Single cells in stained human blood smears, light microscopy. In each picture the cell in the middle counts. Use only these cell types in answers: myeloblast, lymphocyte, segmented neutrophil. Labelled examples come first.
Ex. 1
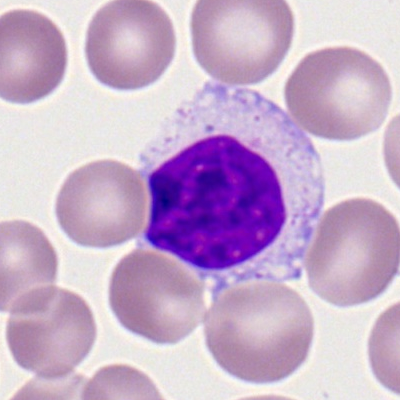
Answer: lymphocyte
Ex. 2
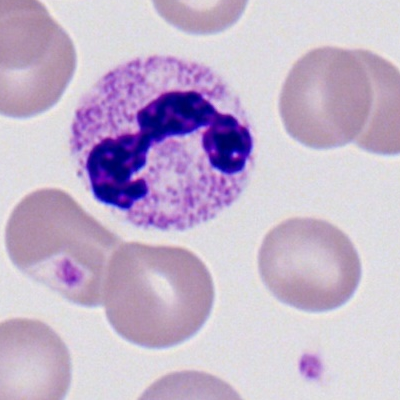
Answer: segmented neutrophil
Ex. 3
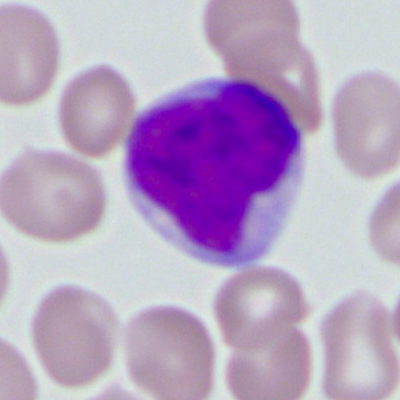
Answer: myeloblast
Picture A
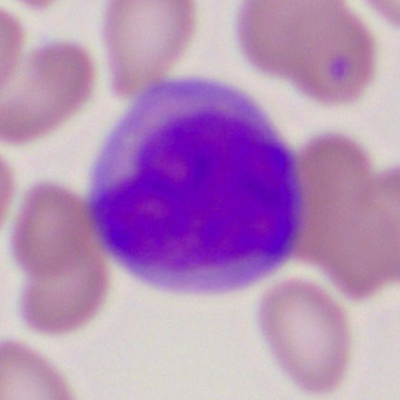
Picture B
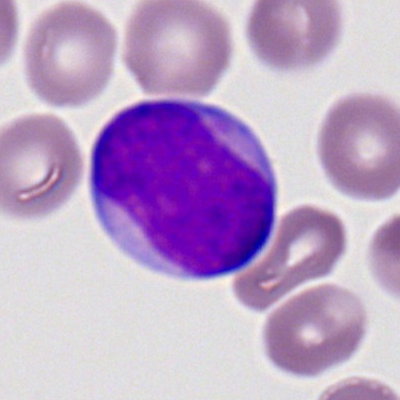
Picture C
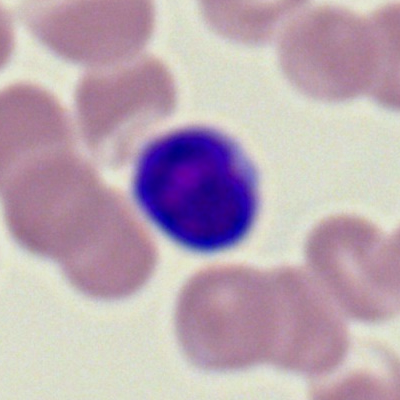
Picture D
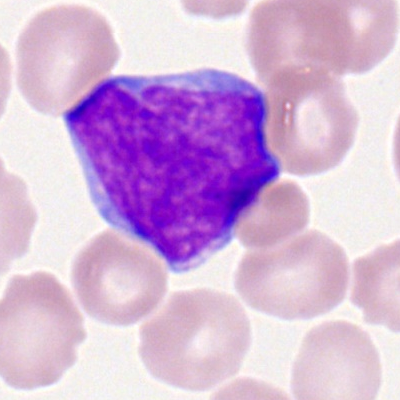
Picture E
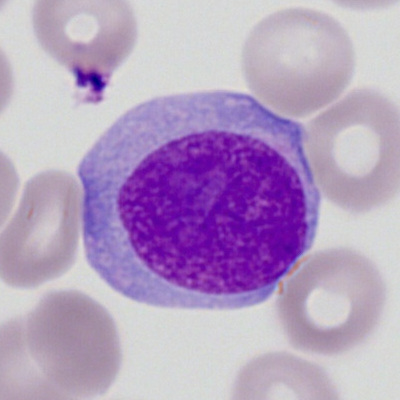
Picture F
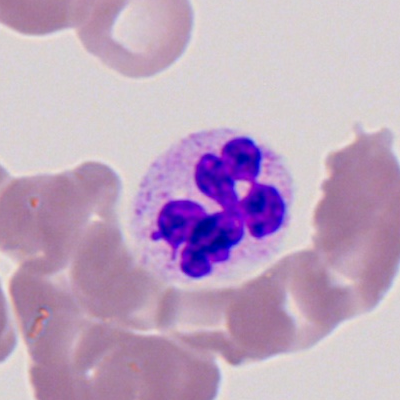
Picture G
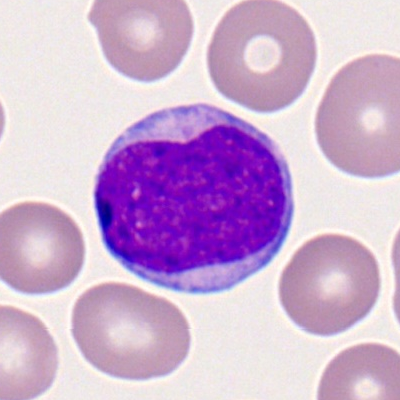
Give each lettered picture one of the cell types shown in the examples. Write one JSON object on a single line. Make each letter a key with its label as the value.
{"A": "myeloblast", "B": "myeloblast", "C": "lymphocyte", "D": "myeloblast", "E": "myeloblast", "F": "segmented neutrophil", "G": "myeloblast"}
